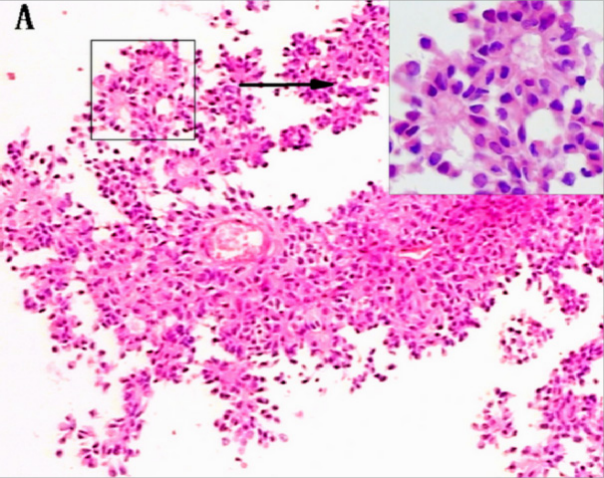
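This is a cellular tumor whose cells are arranged in papillary fronds and in rings around blood vessels, forming perivascular pseudo-rosettes. Toward the edges, the tissue breaks up into finger-like papillae that project into empty space. The enlarged insert shows cells with rounded to oval, vesicular, purple nuclei and a fair amount of pink cytoplasm, clustered around pale cores.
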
